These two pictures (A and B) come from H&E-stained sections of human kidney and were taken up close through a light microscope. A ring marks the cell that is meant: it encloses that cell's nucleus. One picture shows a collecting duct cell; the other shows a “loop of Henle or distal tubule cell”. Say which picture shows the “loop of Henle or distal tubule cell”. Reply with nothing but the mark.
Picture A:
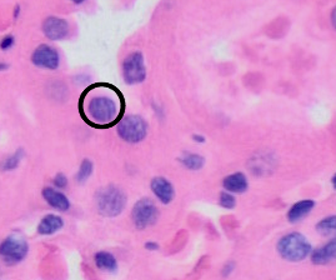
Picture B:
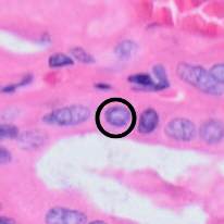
A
